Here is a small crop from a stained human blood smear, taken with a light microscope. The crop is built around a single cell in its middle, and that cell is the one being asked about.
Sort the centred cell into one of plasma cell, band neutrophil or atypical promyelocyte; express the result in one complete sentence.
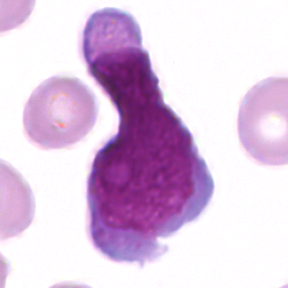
As for the cell in the middle, it is an atypical promyelocyte.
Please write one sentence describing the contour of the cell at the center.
The margin of this cell is irregular, showing raggedness or projections instead of smoothness.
